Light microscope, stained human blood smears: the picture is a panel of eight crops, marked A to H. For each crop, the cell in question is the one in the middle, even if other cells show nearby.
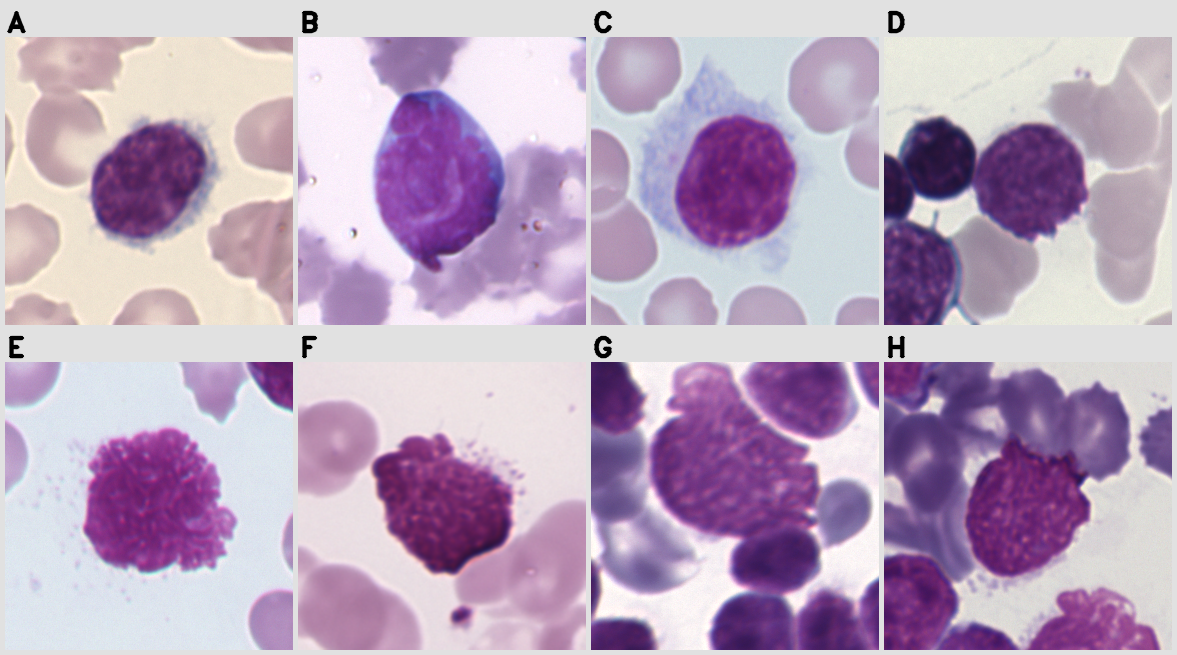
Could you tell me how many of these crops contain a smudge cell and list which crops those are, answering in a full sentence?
In crops E, F, G and H, that is four crops, the cells are smudge cells.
